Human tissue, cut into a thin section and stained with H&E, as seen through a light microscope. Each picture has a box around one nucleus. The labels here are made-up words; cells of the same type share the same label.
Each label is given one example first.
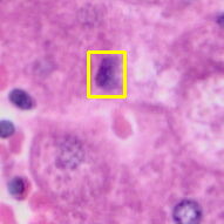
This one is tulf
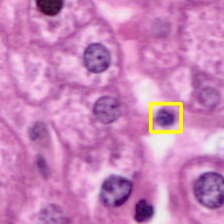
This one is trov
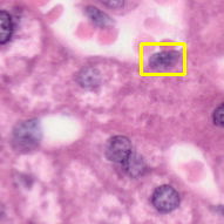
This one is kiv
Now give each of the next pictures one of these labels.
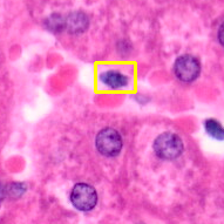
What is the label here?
trov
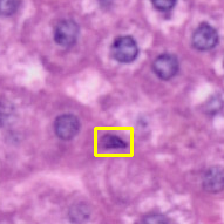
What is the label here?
tulf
